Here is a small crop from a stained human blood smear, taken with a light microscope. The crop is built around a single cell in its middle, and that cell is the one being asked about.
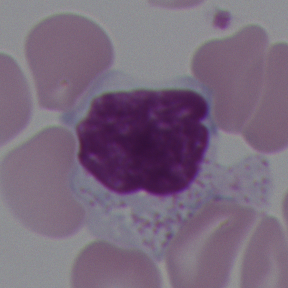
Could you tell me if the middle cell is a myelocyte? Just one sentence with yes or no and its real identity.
No, instead of being a myelocyte, the middle cell is a large granular lymphocyte.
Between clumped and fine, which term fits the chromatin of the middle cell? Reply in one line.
Take a look at the chromatin, which is coarsely clumped.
